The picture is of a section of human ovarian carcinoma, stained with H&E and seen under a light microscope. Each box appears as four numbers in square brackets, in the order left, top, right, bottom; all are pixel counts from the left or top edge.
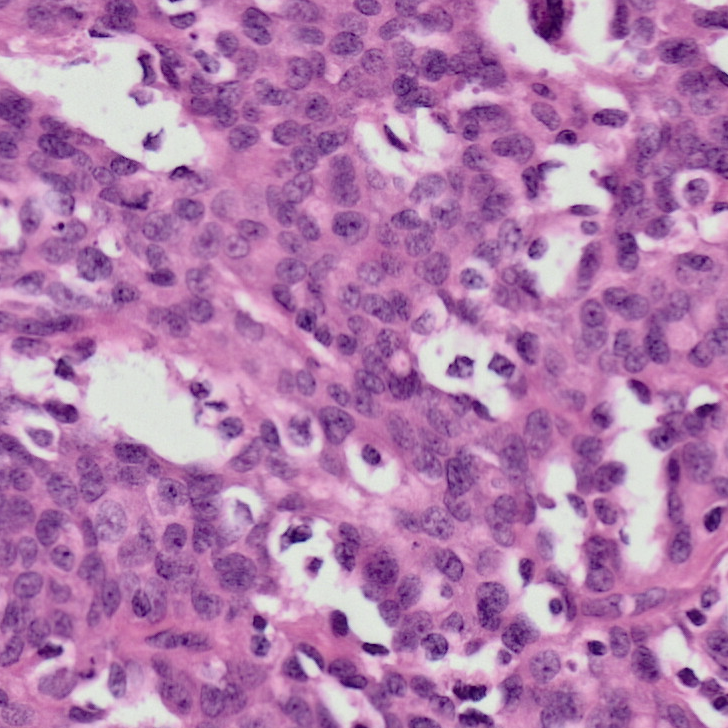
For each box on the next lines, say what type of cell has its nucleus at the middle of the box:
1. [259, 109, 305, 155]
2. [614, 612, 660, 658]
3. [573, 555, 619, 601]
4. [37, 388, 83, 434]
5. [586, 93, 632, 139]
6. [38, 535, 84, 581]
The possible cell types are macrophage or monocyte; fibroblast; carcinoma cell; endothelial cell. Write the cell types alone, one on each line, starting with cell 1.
carcinoma cell
carcinoma cell
carcinoma cell
carcinoma cell
macrophage or monocyte
macrophage or monocyte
